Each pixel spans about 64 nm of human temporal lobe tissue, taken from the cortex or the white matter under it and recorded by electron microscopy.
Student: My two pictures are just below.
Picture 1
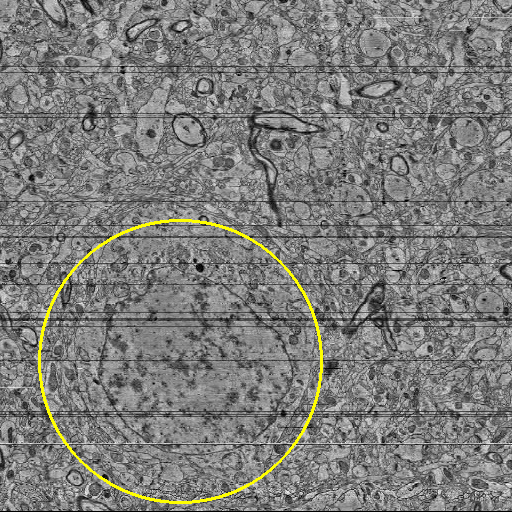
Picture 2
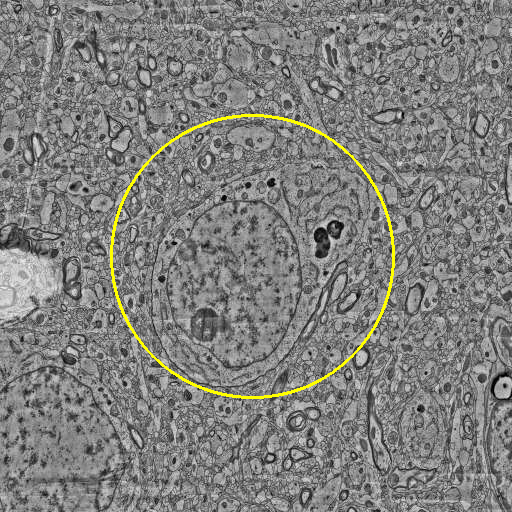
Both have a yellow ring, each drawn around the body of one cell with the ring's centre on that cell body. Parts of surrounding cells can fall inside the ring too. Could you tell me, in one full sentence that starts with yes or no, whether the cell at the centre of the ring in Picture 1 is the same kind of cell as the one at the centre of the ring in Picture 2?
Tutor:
Yes, the two cells are of the same kind.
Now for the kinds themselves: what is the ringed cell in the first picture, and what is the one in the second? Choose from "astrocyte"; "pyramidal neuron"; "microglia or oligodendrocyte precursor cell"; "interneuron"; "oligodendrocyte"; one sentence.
Each of the two cells is a pyramidal neuron.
